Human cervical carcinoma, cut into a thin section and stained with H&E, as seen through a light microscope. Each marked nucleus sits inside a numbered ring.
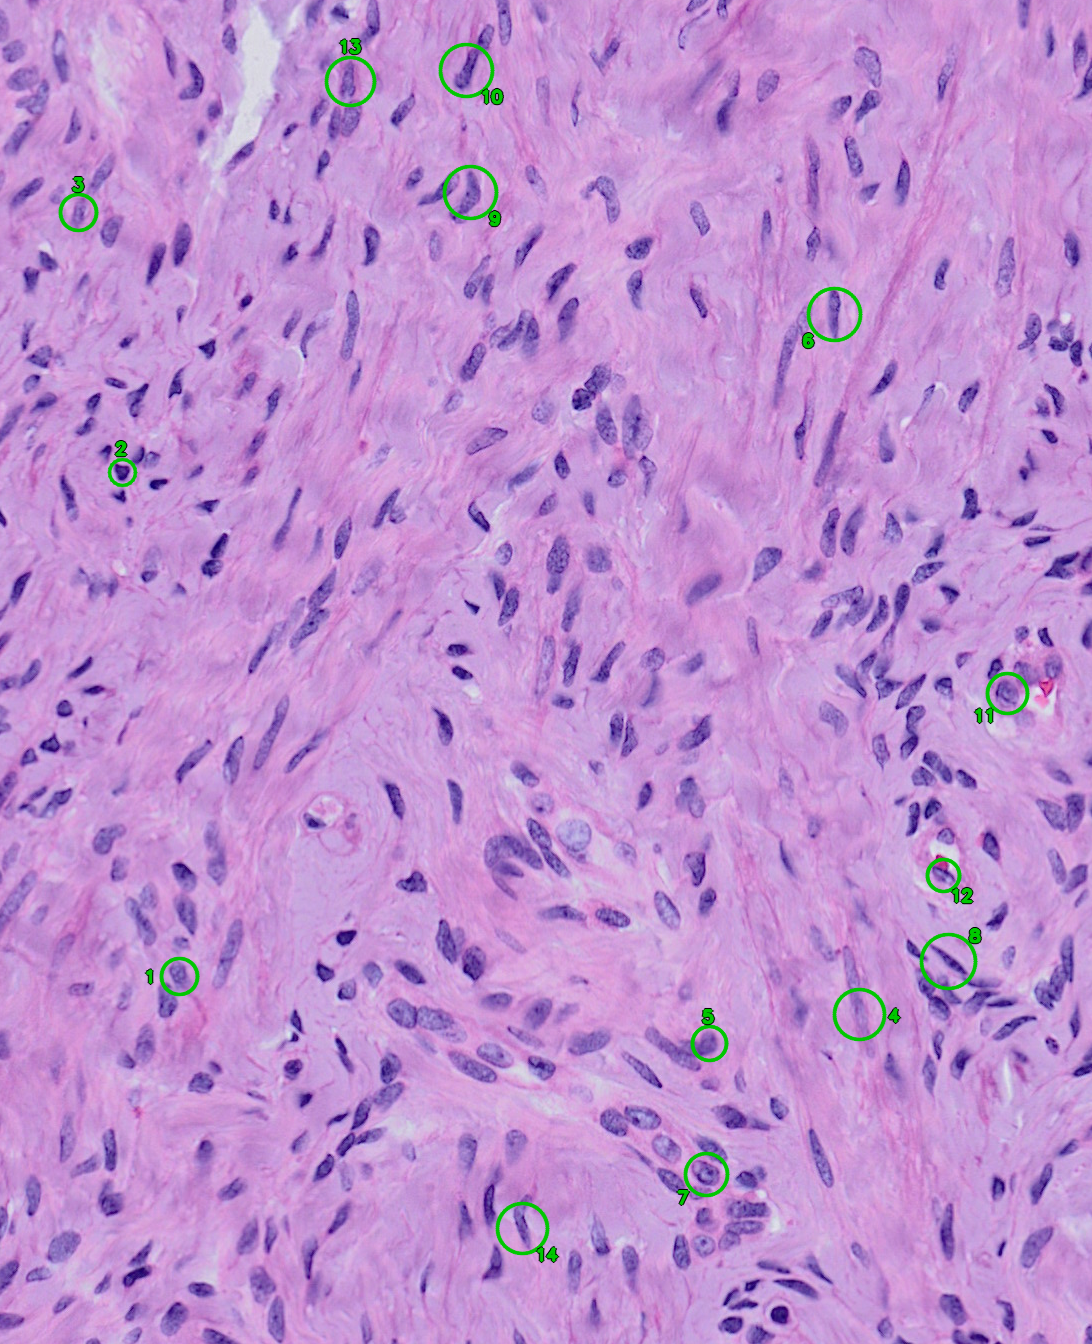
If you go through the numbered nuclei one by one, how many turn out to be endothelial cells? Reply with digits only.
3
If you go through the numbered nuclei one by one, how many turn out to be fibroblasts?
8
